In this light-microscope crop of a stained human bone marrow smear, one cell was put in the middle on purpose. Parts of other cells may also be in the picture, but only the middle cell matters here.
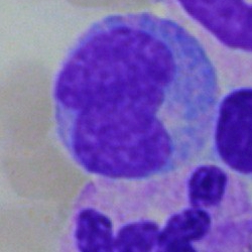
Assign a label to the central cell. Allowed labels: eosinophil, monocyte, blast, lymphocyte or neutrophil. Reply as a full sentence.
Regarding the central cell, it is a monocyte.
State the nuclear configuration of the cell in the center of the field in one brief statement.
The nucleus holds together as a single compact mass, round, oval or kidney-like.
